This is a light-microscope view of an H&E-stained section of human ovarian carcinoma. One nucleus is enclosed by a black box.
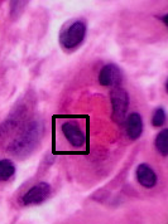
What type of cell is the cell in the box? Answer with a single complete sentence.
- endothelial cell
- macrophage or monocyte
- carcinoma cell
The cell in the box appears to be an endothelial cell.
